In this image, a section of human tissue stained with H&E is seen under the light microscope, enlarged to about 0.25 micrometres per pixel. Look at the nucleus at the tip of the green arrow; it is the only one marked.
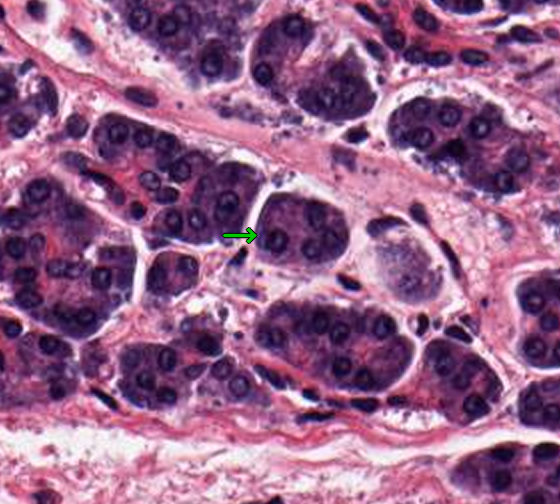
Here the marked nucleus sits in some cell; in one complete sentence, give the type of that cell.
The marked nucleus belongs to a pancreatic acinar cell.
